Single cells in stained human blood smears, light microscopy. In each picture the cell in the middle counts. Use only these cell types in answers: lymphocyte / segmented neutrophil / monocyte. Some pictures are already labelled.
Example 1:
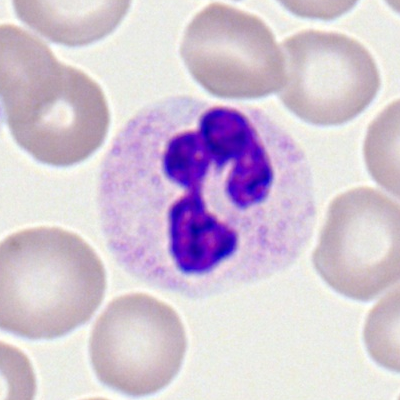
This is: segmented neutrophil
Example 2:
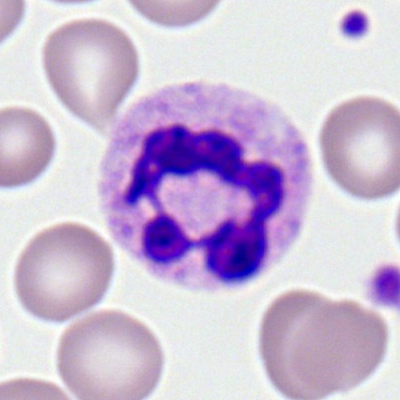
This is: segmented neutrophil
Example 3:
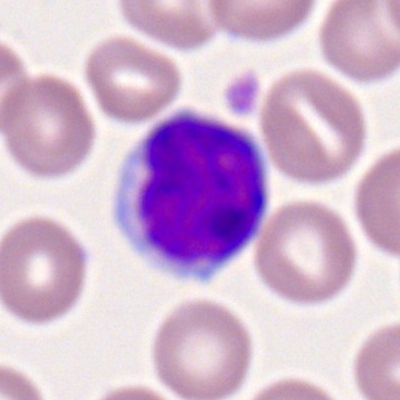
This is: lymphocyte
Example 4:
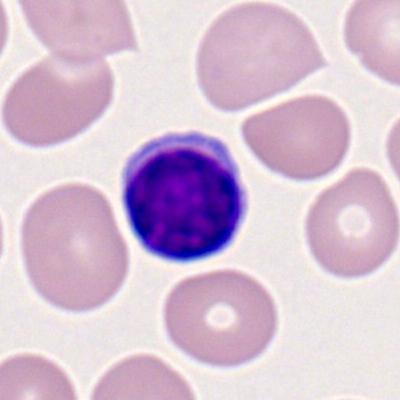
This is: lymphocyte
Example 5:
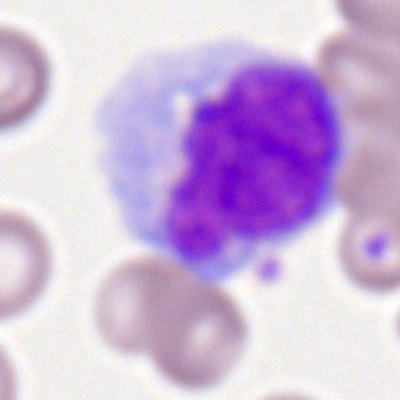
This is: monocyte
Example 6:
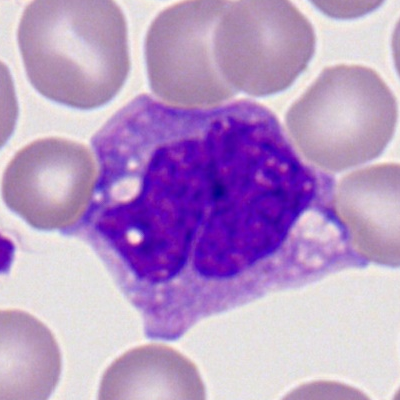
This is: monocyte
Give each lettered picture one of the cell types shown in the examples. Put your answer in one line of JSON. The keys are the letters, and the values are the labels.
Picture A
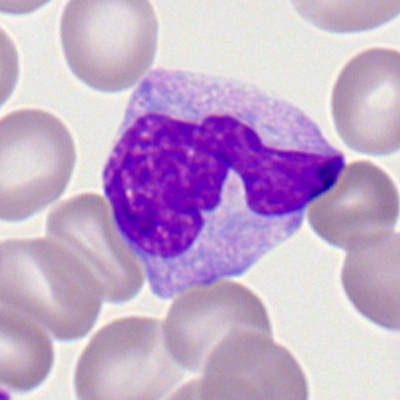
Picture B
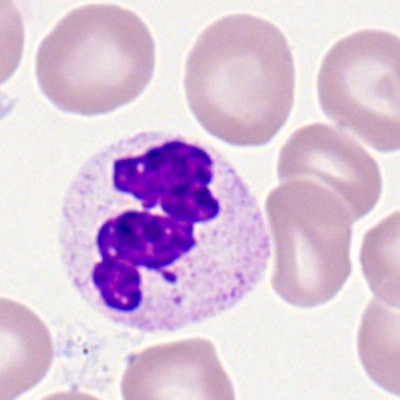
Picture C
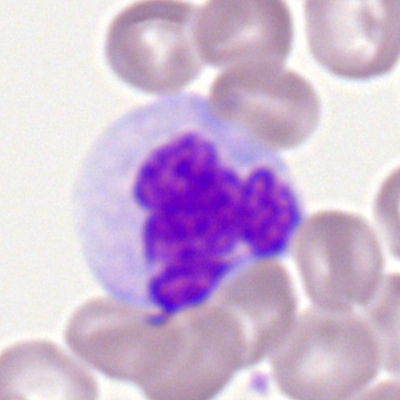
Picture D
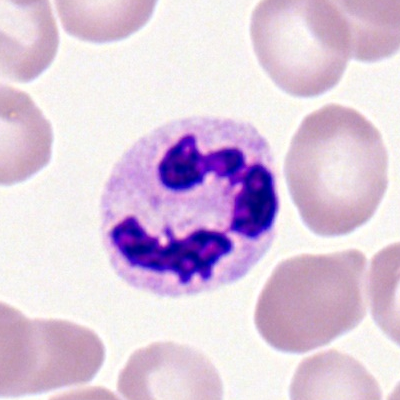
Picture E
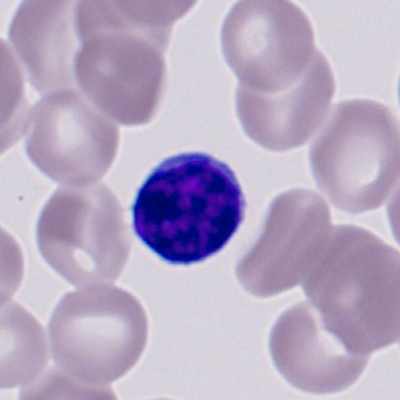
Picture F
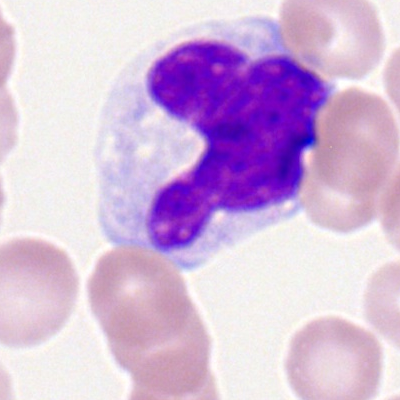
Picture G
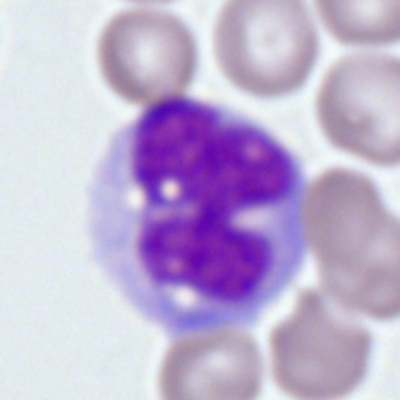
{"A": "monocyte", "B": "segmented neutrophil", "C": "monocyte", "D": "segmented neutrophil", "E": "lymphocyte", "F": "monocyte", "G": "monocyte"}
